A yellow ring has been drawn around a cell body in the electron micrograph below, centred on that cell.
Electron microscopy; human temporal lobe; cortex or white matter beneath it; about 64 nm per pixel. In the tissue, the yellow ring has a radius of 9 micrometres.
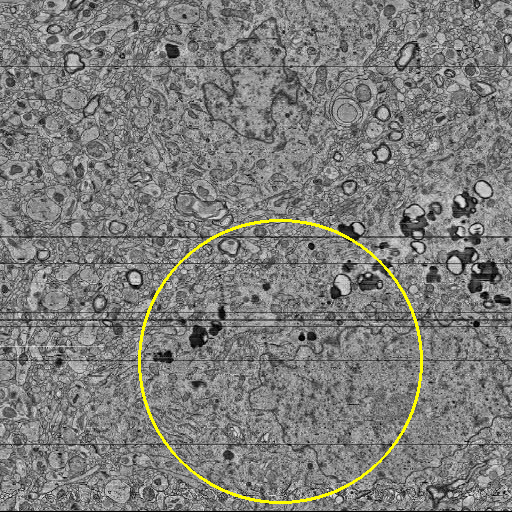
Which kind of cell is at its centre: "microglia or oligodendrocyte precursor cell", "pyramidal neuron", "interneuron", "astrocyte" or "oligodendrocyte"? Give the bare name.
pyramidal neuron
